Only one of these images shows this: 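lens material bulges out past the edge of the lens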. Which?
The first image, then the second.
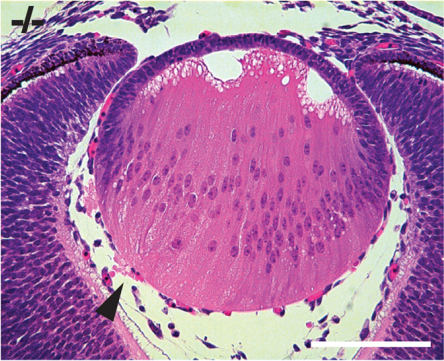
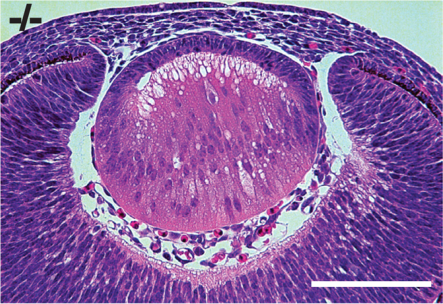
The first image.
